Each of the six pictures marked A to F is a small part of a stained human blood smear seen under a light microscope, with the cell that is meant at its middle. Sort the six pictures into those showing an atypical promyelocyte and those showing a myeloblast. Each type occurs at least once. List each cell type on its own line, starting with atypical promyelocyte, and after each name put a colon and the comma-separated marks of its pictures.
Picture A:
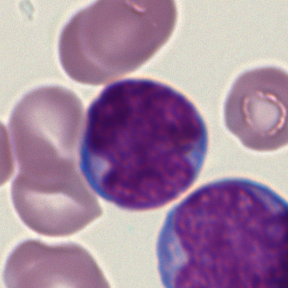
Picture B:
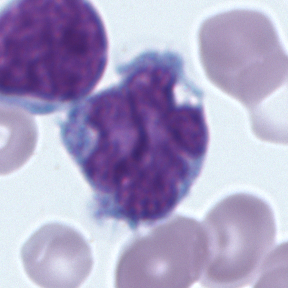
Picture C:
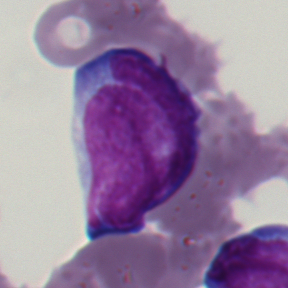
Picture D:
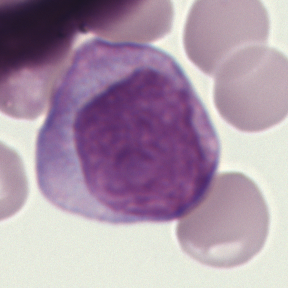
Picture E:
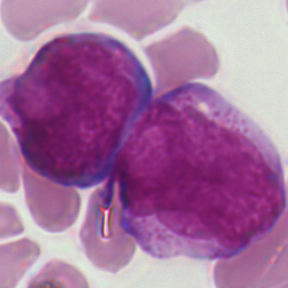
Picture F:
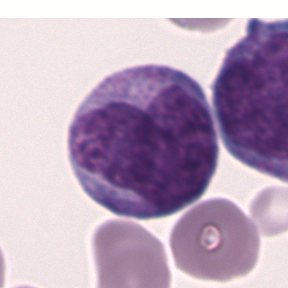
atypical promyelocyte: D, E, F
myeloblast: A, B, C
